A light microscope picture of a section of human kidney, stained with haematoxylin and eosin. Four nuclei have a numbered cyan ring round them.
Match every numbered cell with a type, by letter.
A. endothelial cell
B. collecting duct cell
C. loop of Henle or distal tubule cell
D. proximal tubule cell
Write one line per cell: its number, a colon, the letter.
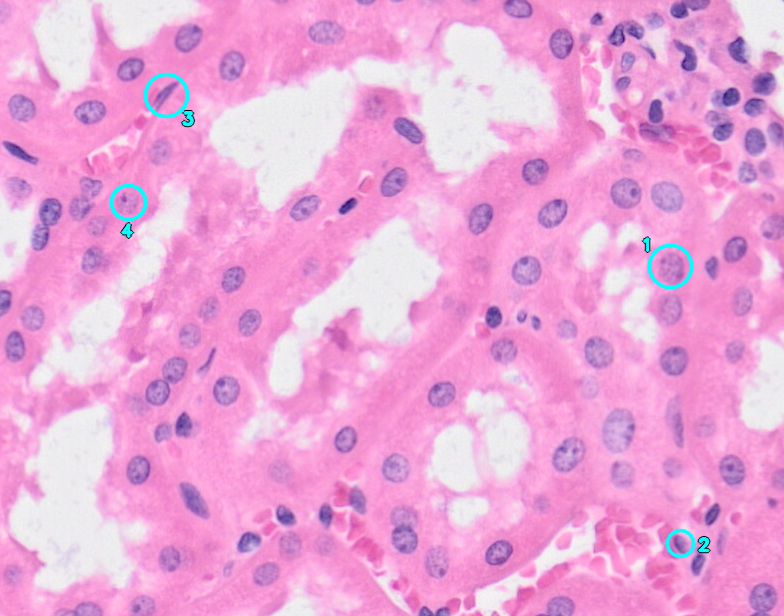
1: D
2: A
3: A
4: D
